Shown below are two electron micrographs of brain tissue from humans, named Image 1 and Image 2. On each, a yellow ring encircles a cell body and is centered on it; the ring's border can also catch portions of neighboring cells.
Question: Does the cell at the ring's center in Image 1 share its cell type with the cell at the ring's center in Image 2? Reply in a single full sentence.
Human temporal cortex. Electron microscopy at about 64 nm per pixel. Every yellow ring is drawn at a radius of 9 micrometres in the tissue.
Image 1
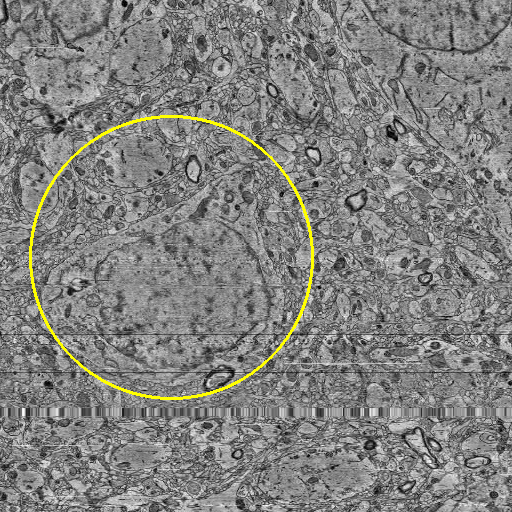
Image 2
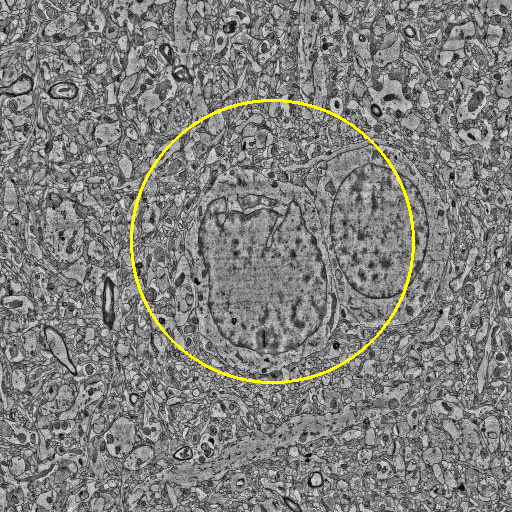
Yes, the two cells at the ring centers, in Image 1 and Image 2, share one cell type.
